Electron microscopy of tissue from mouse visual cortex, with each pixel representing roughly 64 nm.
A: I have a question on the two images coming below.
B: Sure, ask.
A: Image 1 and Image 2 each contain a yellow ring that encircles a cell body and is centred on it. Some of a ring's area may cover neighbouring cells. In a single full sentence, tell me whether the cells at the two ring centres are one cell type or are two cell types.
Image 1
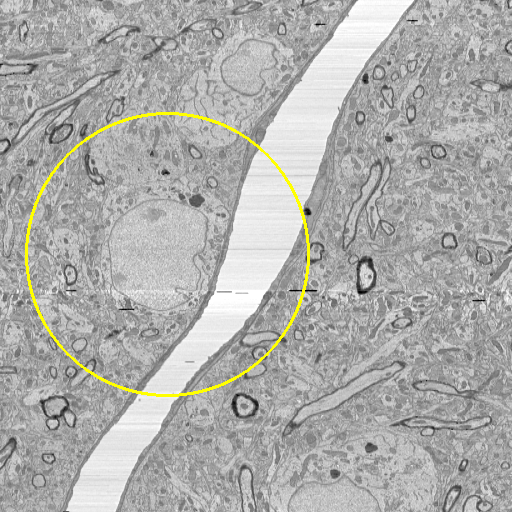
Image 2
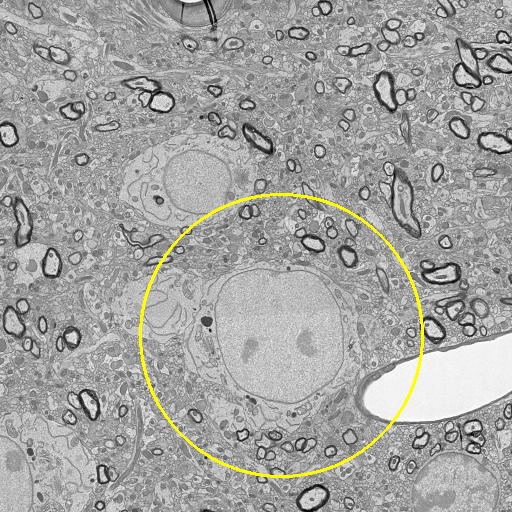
As for the ring-centre cells, the one in Image 1 and the one in Image 2 are one cell type.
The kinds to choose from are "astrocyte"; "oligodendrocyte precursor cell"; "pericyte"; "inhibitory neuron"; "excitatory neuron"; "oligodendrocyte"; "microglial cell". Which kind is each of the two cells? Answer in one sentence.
Each cell at the centre of a ring is an excitatory neuron.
